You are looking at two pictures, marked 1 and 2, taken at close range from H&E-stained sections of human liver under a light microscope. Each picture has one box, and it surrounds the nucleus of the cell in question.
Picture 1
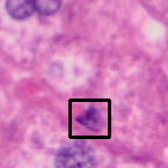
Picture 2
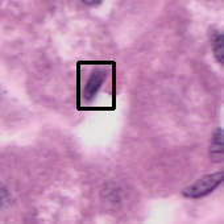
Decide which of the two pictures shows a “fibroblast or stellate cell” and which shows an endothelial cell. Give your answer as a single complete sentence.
Picture 1 is of an endothelial cell, and picture 2 is of a “fibroblast or stellate cell”.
